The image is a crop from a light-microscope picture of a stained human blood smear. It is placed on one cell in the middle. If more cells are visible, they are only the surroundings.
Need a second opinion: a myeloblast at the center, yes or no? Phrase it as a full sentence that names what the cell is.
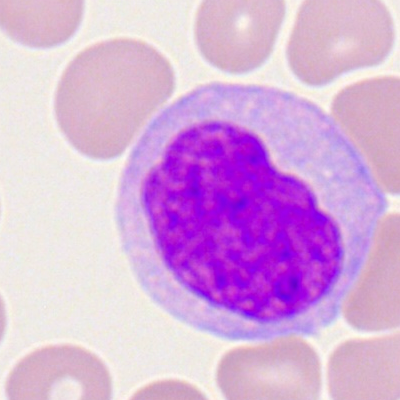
No, a myeloblast is not what the central cell is; it is a monocyte.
